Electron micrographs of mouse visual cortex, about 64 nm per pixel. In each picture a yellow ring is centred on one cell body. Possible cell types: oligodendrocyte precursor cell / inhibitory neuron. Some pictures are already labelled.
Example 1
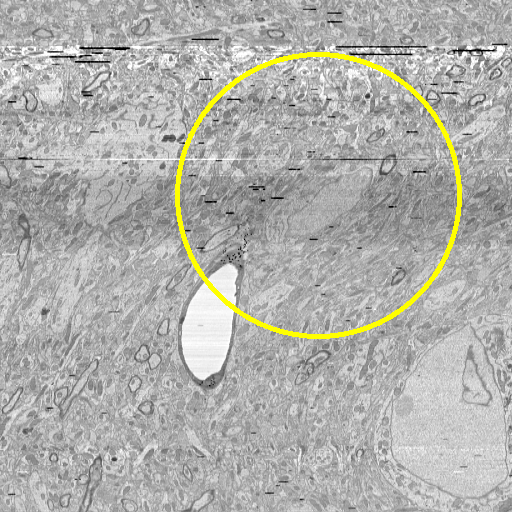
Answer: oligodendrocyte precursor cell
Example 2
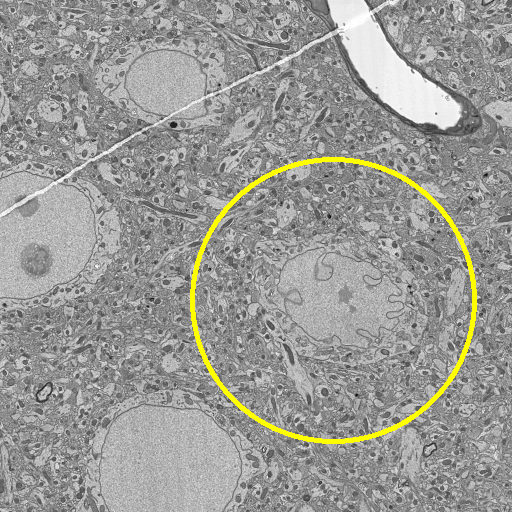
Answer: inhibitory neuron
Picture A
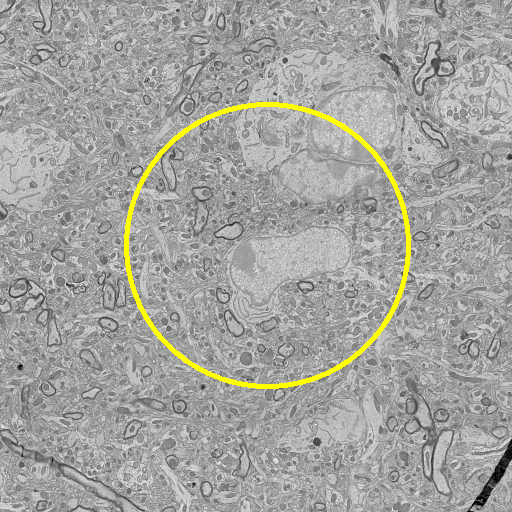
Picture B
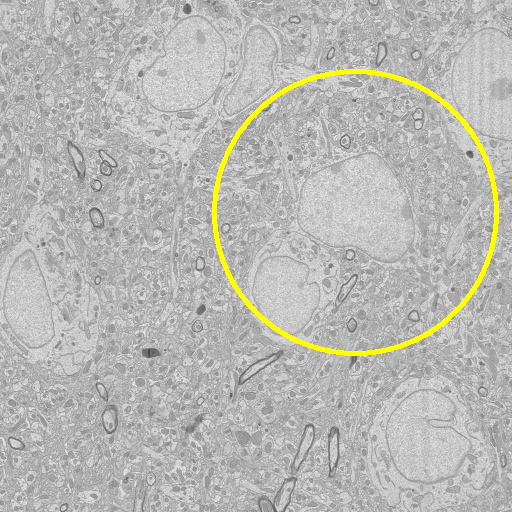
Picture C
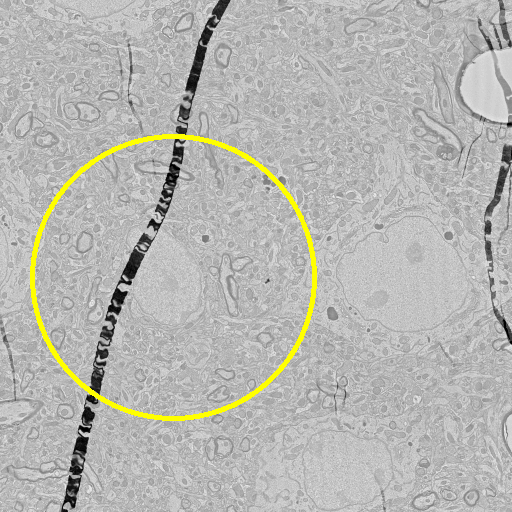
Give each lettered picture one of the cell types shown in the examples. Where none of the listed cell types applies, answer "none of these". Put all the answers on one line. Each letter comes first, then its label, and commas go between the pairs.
A oligodendrocyte precursor cell, B none of these, C oligodendrocyte precursor cell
